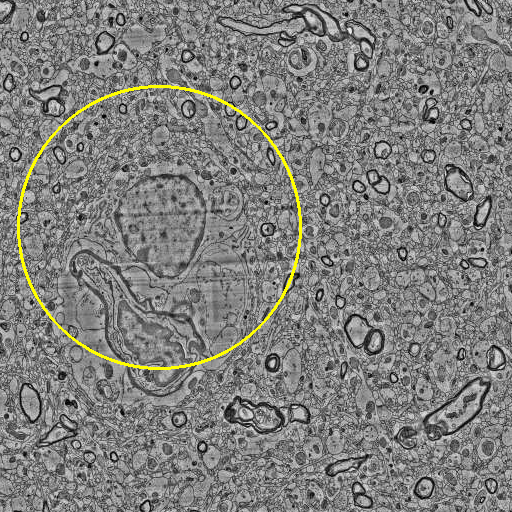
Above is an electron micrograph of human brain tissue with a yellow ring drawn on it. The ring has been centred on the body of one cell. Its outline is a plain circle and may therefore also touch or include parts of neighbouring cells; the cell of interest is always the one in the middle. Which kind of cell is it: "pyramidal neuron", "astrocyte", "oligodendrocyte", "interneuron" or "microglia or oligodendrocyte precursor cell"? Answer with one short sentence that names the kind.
The ring's central cell body is that of a microglial cell or oligodendrocyte precursor cell.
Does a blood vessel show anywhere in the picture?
Yes, a blood vessel shows in the picture.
